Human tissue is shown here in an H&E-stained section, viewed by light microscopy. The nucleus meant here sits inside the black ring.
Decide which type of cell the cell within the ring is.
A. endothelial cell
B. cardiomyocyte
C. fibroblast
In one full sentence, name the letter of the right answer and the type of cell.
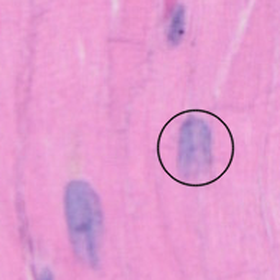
The correct option, B, describes the cell within the ring as a cardiomyocyte.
